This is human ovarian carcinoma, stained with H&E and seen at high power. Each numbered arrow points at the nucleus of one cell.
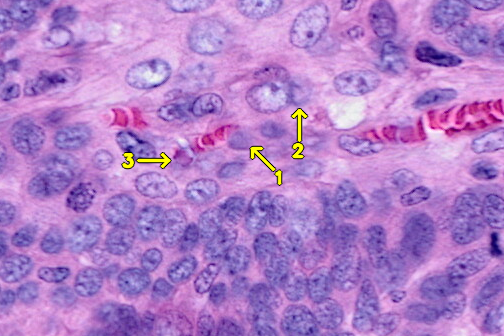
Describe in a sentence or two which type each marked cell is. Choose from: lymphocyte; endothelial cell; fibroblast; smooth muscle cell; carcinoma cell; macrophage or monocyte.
Cells 1 and 3 are endothelial cells. Cell 2 is a fibroblast.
